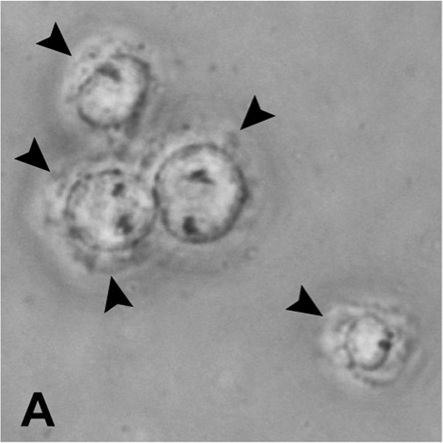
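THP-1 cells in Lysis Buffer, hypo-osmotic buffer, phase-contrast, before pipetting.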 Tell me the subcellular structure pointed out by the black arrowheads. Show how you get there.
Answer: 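Membrane components. Each arrowhead points at a granular, irregular rim lying outside a round central body. The rim is grainy and uneven, unlike the smooth outline of the central body.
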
